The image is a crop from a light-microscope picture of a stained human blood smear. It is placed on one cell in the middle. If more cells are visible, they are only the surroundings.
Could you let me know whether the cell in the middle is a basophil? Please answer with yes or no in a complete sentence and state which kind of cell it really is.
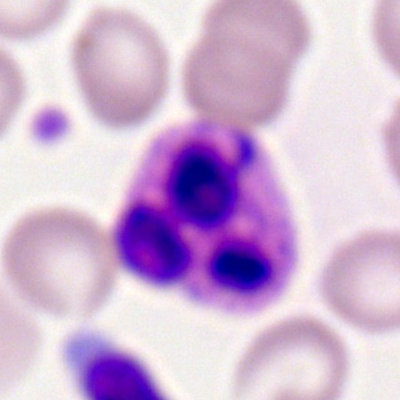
Yes, the cell in the central position is a basophil.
